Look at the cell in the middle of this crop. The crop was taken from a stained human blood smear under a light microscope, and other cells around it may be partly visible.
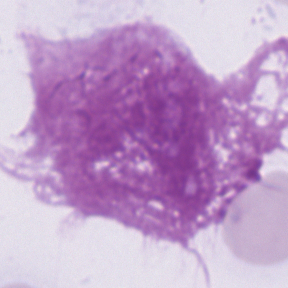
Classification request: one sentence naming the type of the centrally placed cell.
The cell centered in this field of view is a smudge cell.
